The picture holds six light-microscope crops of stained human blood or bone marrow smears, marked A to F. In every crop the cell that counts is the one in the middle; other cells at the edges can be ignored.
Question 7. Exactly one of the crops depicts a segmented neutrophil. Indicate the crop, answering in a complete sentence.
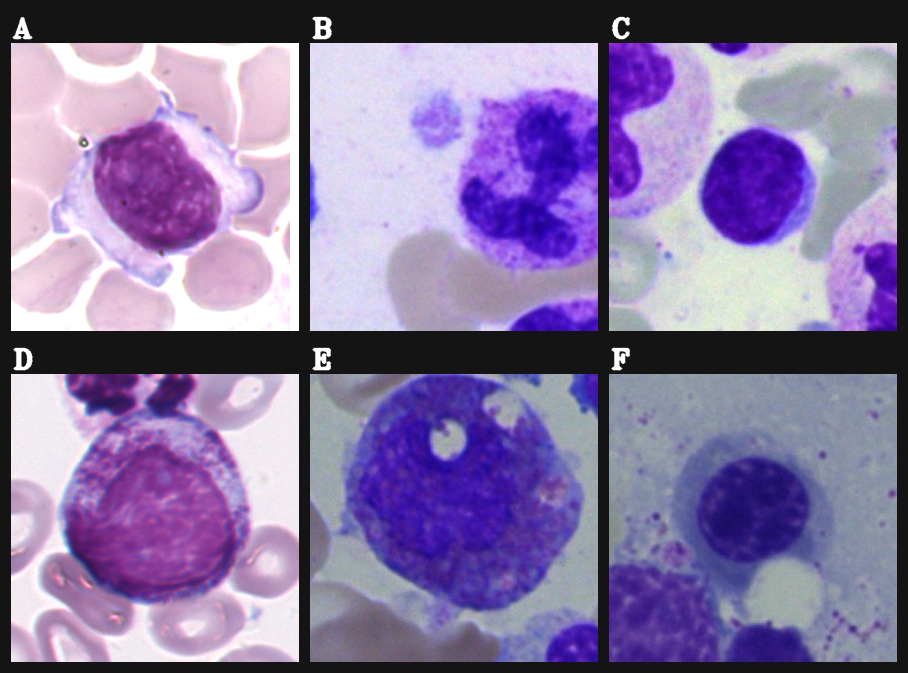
On review of the set, crop B is the one showing a segmented neutrophil.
